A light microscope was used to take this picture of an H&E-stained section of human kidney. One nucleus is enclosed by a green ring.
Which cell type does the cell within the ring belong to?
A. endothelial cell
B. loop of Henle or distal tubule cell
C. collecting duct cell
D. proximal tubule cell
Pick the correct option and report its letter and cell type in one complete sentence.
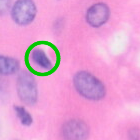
Here the correct option is A, since the cell within the ring is an endothelial cell.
